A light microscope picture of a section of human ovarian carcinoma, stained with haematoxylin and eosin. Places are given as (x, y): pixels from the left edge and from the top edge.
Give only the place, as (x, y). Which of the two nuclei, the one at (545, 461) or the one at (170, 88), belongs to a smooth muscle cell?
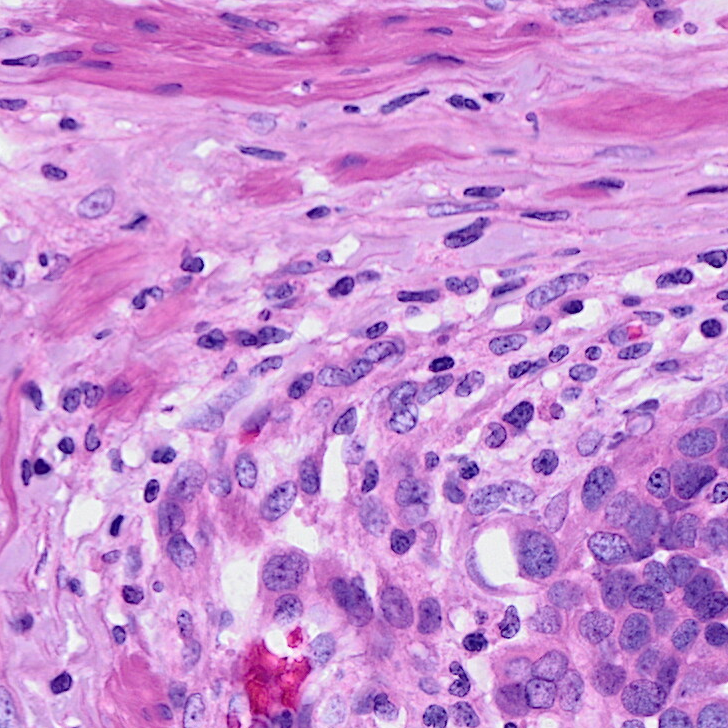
(170, 88)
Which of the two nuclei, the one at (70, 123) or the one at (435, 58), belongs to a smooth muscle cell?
(435, 58)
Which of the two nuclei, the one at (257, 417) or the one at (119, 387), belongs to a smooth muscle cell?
(119, 387)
